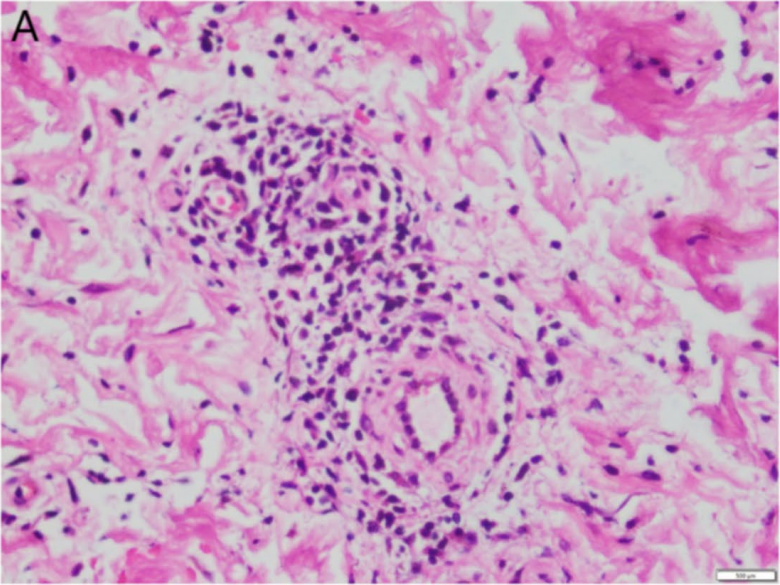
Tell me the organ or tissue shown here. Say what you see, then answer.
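Dermis. Pink, loosely arranged collagen bundles fill the field. Scattered spindle-shaped stromal nuclei lie between the fibres. Small vessels run through the connective tissue.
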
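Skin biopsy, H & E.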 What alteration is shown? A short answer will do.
Lymphocytic infiltration around small blood vessels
